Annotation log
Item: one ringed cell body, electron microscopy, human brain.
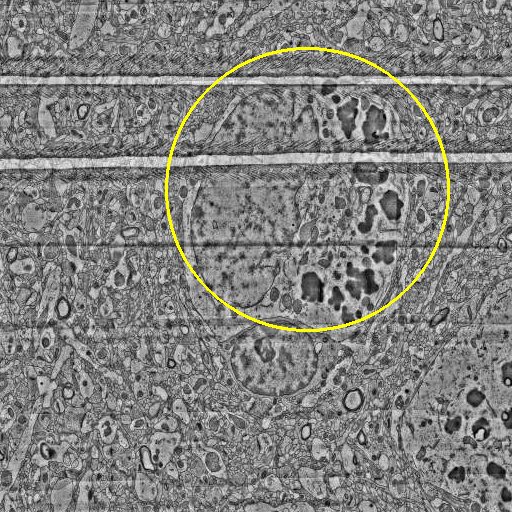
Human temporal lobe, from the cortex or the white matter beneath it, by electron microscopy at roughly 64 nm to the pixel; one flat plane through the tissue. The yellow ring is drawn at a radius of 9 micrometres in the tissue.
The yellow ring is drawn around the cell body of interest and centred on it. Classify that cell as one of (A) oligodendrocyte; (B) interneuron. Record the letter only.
B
